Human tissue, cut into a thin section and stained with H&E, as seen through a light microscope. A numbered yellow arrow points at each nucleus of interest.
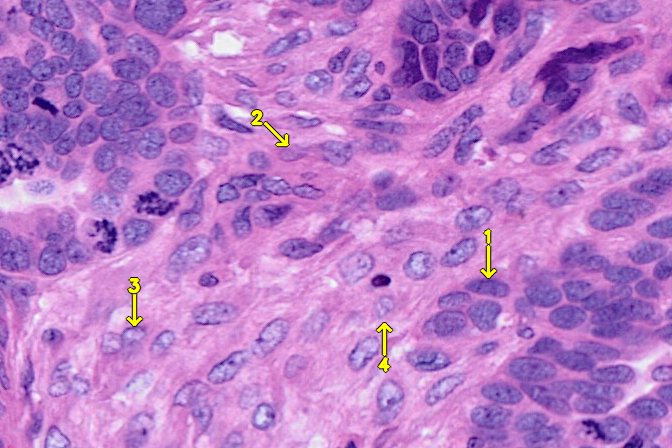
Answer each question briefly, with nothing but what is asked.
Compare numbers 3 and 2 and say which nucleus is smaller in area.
2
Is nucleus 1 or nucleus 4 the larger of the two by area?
1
